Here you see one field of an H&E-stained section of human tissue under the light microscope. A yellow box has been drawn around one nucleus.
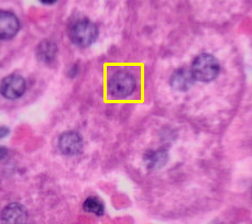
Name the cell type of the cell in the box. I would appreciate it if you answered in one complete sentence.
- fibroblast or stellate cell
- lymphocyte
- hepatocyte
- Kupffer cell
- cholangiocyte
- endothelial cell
In this section of tissue, the cell in the box is a hepatocyte.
